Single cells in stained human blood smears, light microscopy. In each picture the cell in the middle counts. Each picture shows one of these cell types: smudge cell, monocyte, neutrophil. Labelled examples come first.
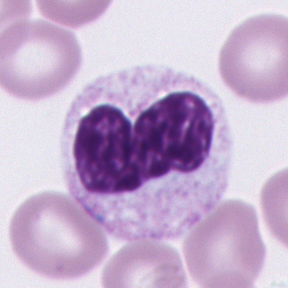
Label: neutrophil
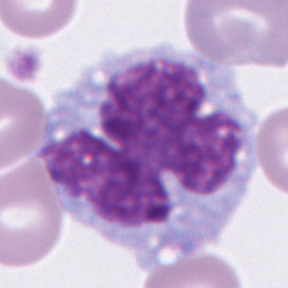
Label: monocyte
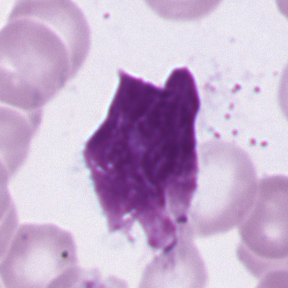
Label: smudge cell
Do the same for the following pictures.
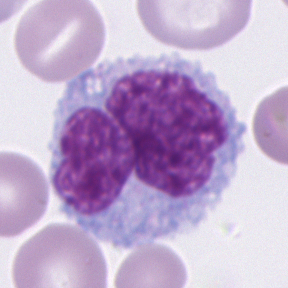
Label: monocyte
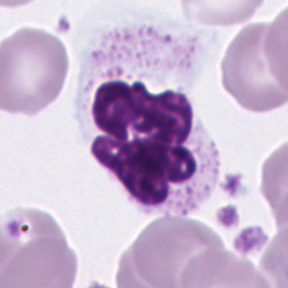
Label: neutrophil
